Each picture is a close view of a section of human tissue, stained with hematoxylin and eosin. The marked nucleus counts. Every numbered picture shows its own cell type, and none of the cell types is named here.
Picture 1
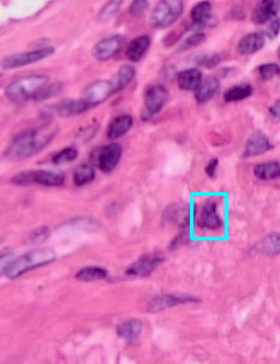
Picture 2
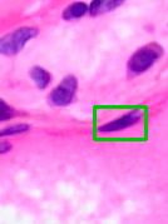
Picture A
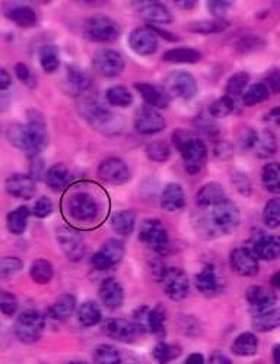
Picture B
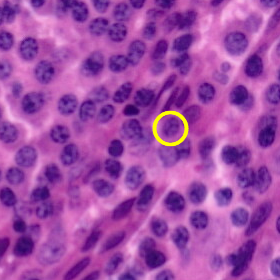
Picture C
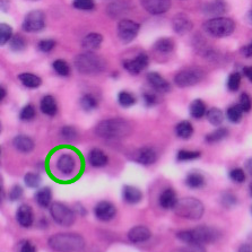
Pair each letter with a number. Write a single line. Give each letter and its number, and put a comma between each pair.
A 1, B 1, C 1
